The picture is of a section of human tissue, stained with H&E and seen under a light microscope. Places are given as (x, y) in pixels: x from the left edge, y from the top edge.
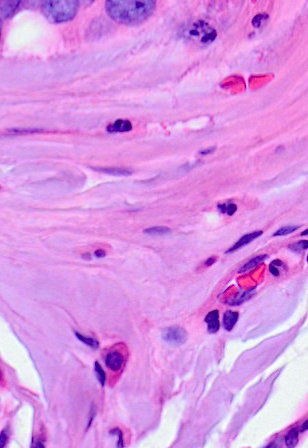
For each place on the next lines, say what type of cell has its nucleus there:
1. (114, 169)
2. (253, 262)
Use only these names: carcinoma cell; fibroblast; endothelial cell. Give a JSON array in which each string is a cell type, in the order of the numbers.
["fibroblast", "endothelial cell"]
